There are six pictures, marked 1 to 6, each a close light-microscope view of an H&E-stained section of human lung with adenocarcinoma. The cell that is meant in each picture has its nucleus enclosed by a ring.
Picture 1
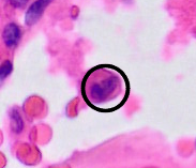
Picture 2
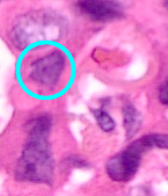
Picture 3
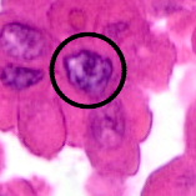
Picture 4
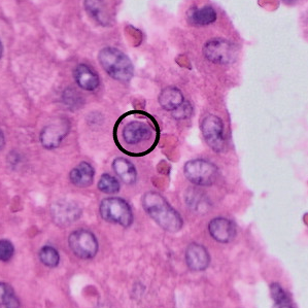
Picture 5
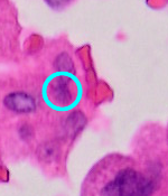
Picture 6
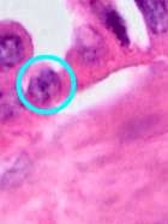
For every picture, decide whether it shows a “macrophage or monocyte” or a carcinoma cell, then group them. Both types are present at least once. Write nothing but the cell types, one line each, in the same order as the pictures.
macrophage or monocyte
carcinoma cell
carcinoma cell
macrophage or monocyte
macrophage or monocyte
carcinoma cell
